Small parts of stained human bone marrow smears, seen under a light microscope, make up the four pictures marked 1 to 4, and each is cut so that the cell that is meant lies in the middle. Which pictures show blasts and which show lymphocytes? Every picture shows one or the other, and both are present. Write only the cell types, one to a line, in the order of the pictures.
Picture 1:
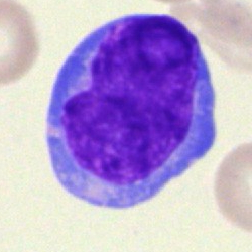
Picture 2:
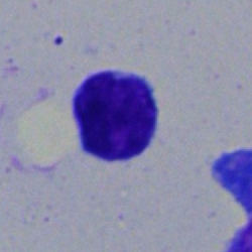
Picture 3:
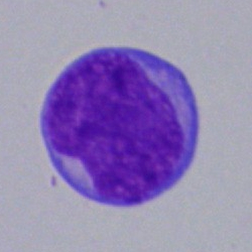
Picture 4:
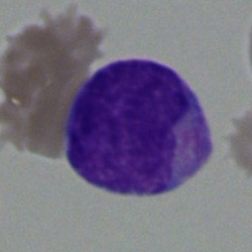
blast
lymphocyte
blast
blast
